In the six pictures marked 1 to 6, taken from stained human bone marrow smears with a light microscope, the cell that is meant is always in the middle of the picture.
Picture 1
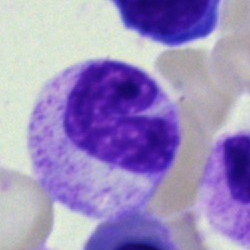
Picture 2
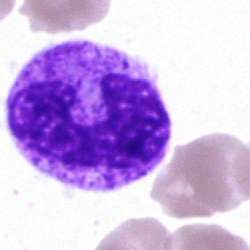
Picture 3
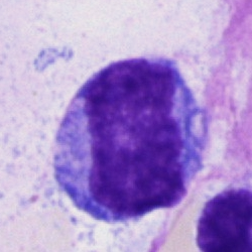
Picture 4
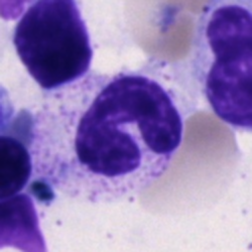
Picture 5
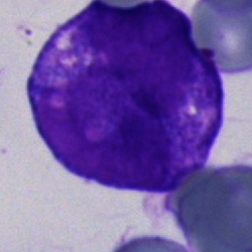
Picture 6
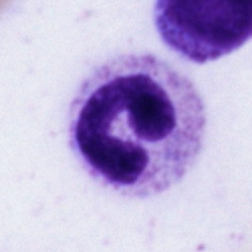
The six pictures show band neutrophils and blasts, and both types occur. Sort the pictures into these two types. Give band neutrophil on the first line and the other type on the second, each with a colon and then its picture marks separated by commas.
band neutrophil: 1, 2, 4, 6
blast: 3, 5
